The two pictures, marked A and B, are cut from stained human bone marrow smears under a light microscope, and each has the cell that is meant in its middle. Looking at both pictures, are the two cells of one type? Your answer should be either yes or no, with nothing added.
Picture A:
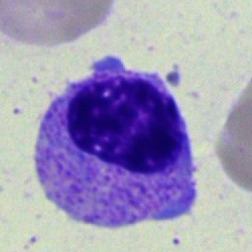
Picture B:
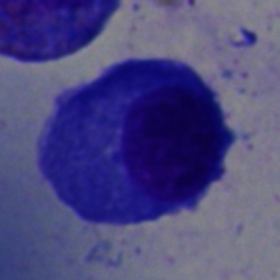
no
